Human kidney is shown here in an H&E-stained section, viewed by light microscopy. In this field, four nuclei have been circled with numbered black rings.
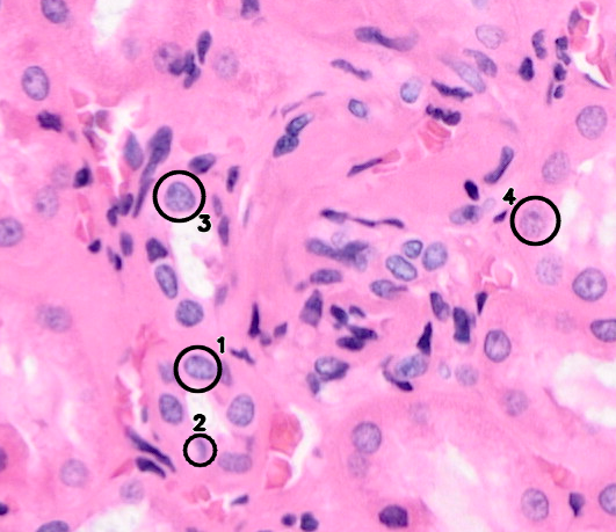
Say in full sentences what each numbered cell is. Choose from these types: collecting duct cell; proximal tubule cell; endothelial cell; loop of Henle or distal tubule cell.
Cells 1, 2 and 3 are collecting duct cells. Cell 4 is a proximal tubule cell.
